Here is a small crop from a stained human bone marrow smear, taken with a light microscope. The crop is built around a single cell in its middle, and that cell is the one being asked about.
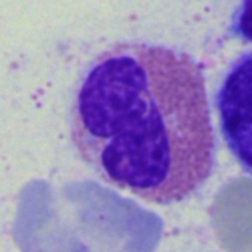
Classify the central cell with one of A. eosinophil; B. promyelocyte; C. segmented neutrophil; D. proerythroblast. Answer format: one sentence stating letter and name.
Option A is to be chosen, as the central cell is an eosinophil.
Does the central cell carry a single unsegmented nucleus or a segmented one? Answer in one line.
If you check the nucleus, you will find it split into two or more lobes.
